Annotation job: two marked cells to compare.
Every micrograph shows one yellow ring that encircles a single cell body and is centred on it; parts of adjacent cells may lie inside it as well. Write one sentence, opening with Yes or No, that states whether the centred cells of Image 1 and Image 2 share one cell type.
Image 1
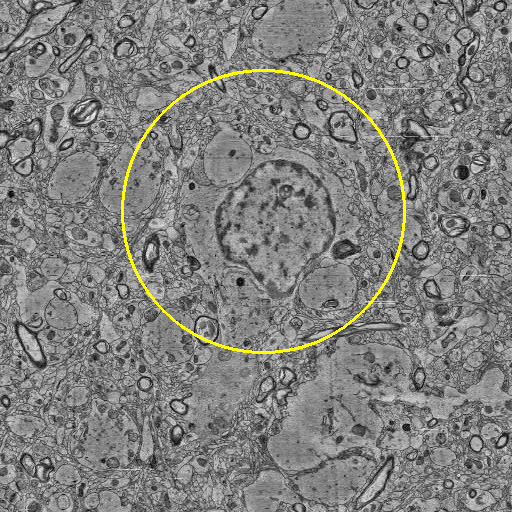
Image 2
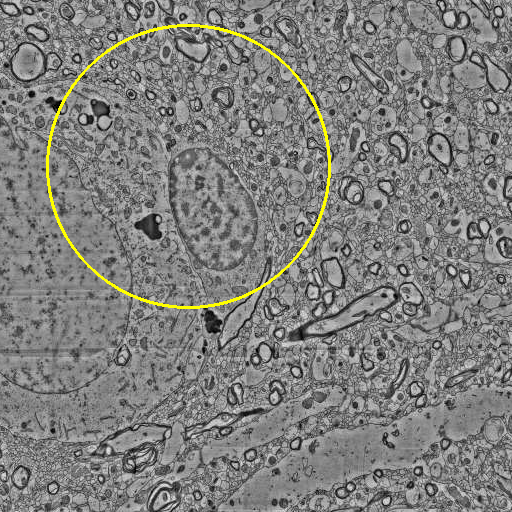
No, the cell centred in Image 1 and the cell centred in Image 2 are of two types.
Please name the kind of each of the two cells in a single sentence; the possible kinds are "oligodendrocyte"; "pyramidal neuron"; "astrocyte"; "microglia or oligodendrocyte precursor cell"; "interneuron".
In the first picture the ring is centred on a microglial cell or oligodendrocyte precursor cell, and in the second on an oligodendrocyte.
